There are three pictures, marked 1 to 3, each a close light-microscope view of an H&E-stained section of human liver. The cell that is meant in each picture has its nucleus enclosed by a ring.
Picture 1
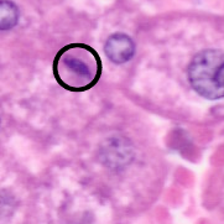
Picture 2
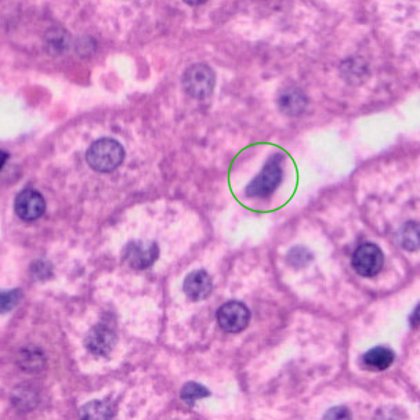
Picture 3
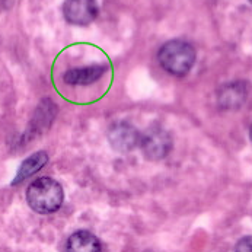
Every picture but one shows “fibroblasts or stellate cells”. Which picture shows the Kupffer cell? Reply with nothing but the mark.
2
